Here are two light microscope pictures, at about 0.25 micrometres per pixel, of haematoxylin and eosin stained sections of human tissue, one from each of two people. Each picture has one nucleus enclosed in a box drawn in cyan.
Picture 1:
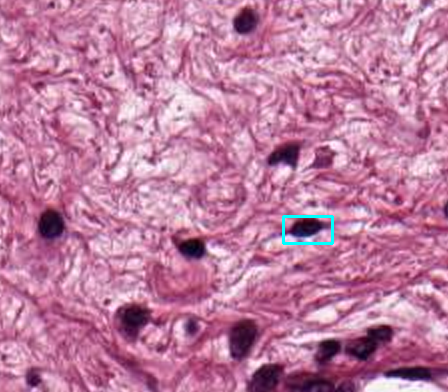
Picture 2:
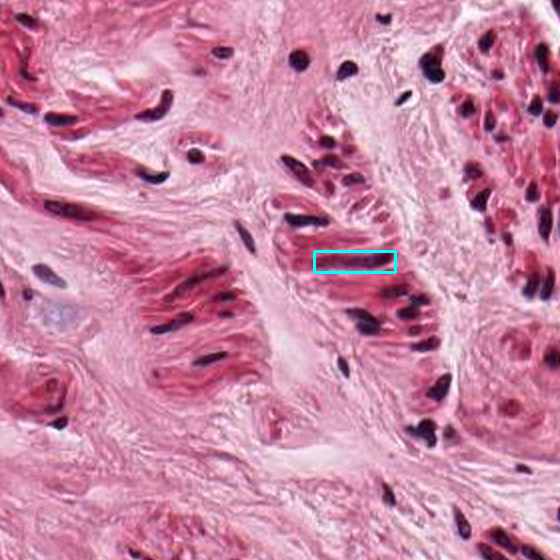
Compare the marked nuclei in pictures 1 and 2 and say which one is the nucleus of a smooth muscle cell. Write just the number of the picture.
2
